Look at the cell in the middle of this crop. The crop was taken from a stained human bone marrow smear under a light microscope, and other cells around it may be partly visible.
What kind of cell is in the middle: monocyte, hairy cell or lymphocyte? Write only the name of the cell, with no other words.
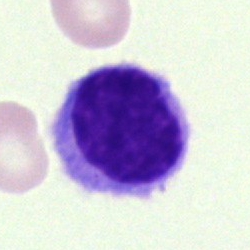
hairy cell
